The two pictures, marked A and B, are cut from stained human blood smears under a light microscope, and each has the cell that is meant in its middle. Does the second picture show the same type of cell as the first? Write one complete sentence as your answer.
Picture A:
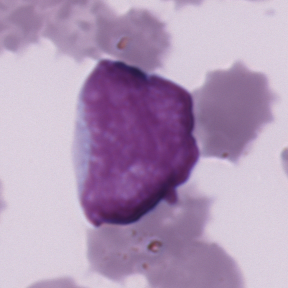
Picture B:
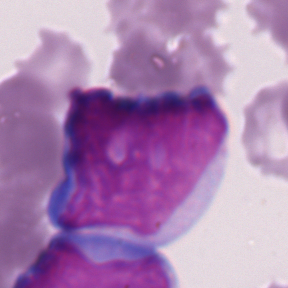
Yes; the cells in both pictures are myeloblasts.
